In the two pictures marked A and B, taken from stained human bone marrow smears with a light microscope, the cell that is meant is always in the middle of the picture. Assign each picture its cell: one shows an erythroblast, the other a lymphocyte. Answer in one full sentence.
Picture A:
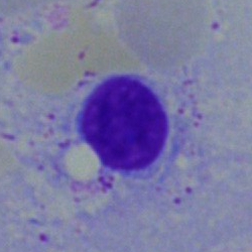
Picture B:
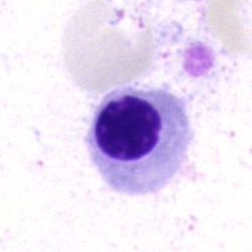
Picture A is of a lymphocyte, and picture B is of an erythroblast.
